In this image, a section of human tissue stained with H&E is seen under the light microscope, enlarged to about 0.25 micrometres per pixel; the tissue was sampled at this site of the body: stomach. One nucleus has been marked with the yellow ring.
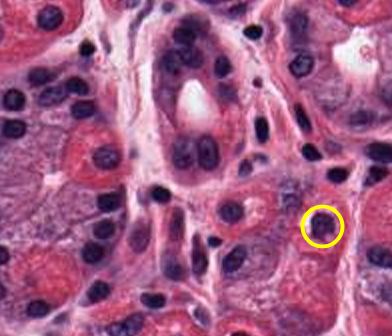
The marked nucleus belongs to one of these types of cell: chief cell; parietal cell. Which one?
parietal cell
